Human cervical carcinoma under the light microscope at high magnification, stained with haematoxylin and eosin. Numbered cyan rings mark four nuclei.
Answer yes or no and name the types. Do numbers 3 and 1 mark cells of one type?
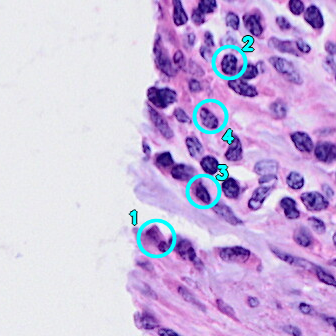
No, cell 1 is a macrophage or monocyte, and cell 3 is a lymphocyte.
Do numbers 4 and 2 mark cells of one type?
Yes, cells 4 and 2 are both identified as lymphocytes.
